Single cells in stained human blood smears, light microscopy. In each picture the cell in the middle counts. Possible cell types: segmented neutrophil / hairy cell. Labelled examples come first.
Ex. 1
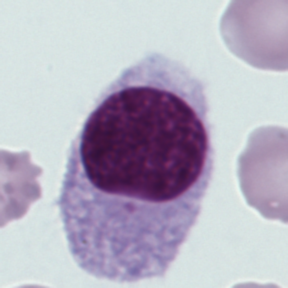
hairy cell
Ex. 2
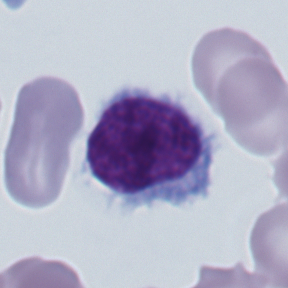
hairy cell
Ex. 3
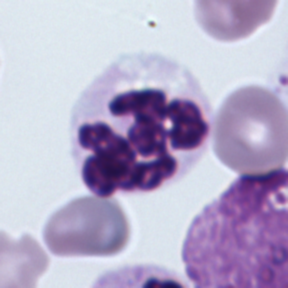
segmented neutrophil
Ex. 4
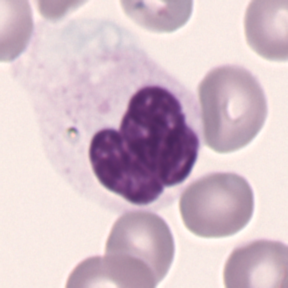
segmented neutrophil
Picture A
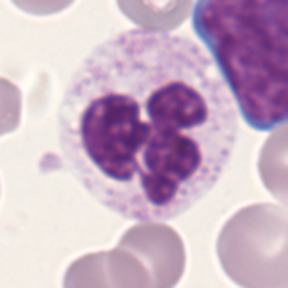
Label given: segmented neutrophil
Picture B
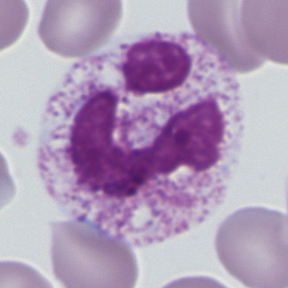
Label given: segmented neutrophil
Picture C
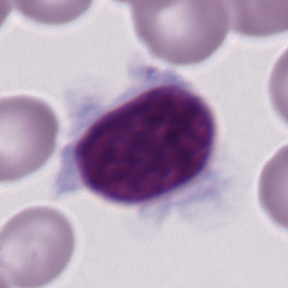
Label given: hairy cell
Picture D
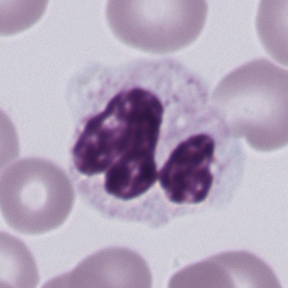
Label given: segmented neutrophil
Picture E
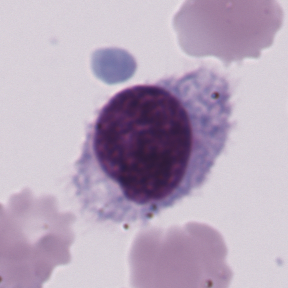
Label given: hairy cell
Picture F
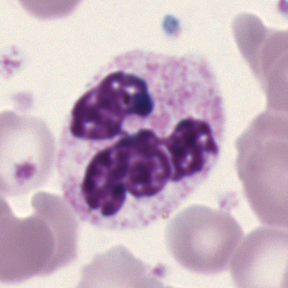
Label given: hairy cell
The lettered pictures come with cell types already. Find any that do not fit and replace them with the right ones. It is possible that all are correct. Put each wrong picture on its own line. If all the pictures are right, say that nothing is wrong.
F: change hairy cell to segmented neutrophil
